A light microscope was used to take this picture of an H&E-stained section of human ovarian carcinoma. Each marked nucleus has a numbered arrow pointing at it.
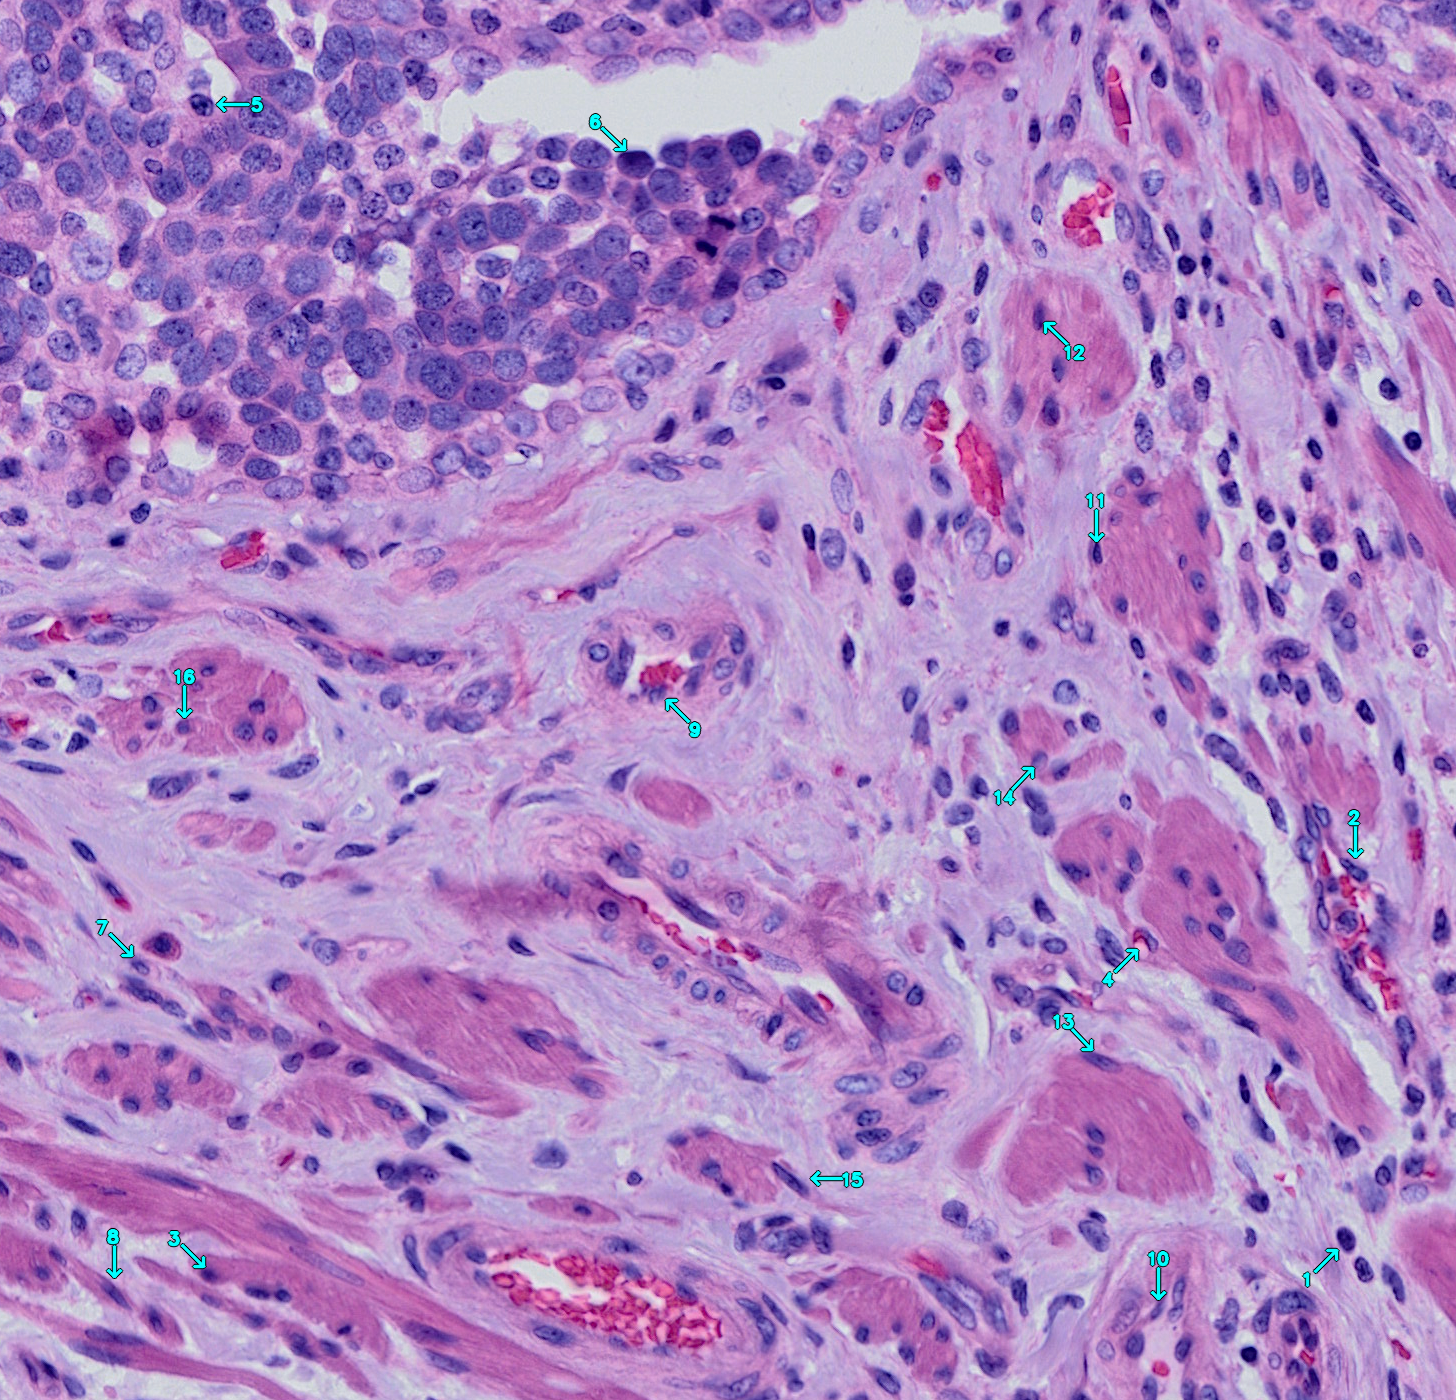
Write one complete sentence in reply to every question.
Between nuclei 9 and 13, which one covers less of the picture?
The smaller nucleus is 9, and 13 covers roughly 1.5 times its area.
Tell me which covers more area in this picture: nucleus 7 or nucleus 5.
The larger nucleus is 5, at roughly 2 times the area of 7.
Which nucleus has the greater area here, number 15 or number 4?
Nucleus 15 is larger, with an area about 1.5 times that of nucleus 4.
